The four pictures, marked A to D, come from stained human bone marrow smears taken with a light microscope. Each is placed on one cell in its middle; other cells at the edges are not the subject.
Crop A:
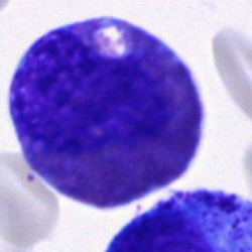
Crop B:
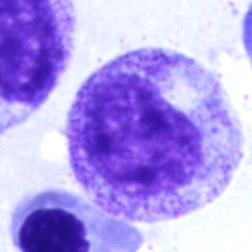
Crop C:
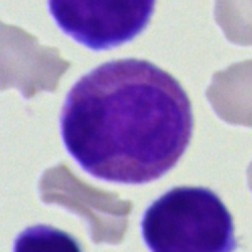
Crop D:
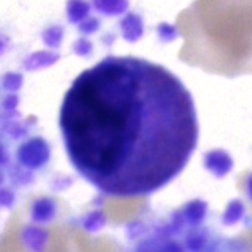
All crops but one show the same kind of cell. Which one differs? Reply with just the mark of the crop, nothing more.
B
